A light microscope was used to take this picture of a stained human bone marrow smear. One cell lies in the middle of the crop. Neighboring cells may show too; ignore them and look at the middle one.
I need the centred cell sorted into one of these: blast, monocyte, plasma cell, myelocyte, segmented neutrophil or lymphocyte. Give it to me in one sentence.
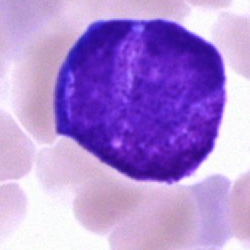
The cell positioned in the middle of the field is a blast.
